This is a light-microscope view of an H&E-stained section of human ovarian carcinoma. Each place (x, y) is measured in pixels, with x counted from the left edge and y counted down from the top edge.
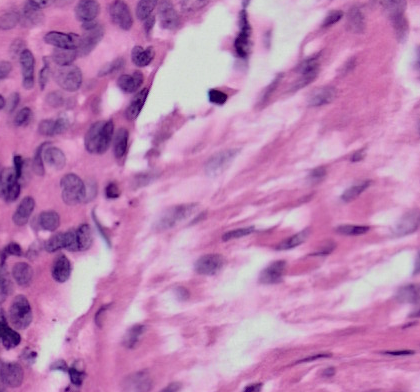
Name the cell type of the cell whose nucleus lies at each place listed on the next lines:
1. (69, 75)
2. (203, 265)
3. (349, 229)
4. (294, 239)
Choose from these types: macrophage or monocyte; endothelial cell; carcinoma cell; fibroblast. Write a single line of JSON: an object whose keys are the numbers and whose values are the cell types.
{"1": "carcinoma cell", "2": "fibroblast", "3": "fibroblast", "4": "fibroblast"}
